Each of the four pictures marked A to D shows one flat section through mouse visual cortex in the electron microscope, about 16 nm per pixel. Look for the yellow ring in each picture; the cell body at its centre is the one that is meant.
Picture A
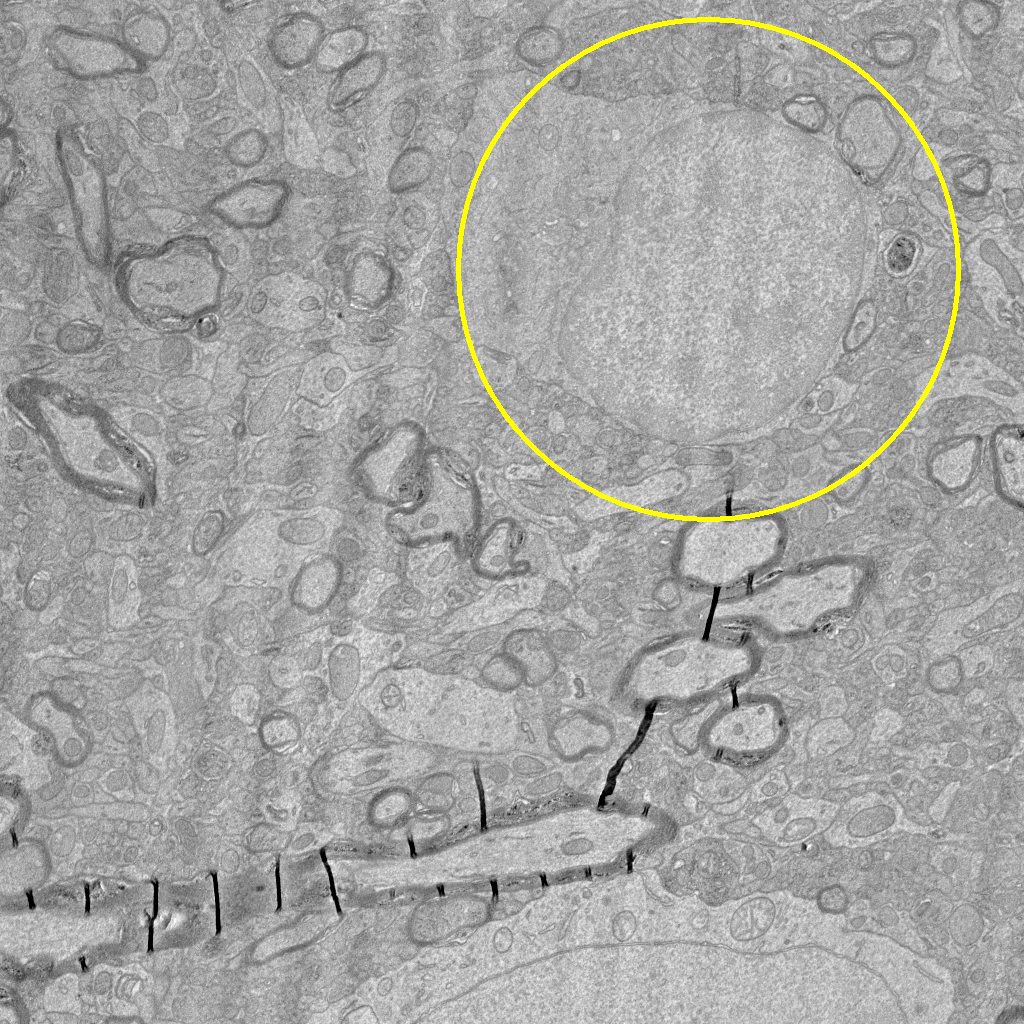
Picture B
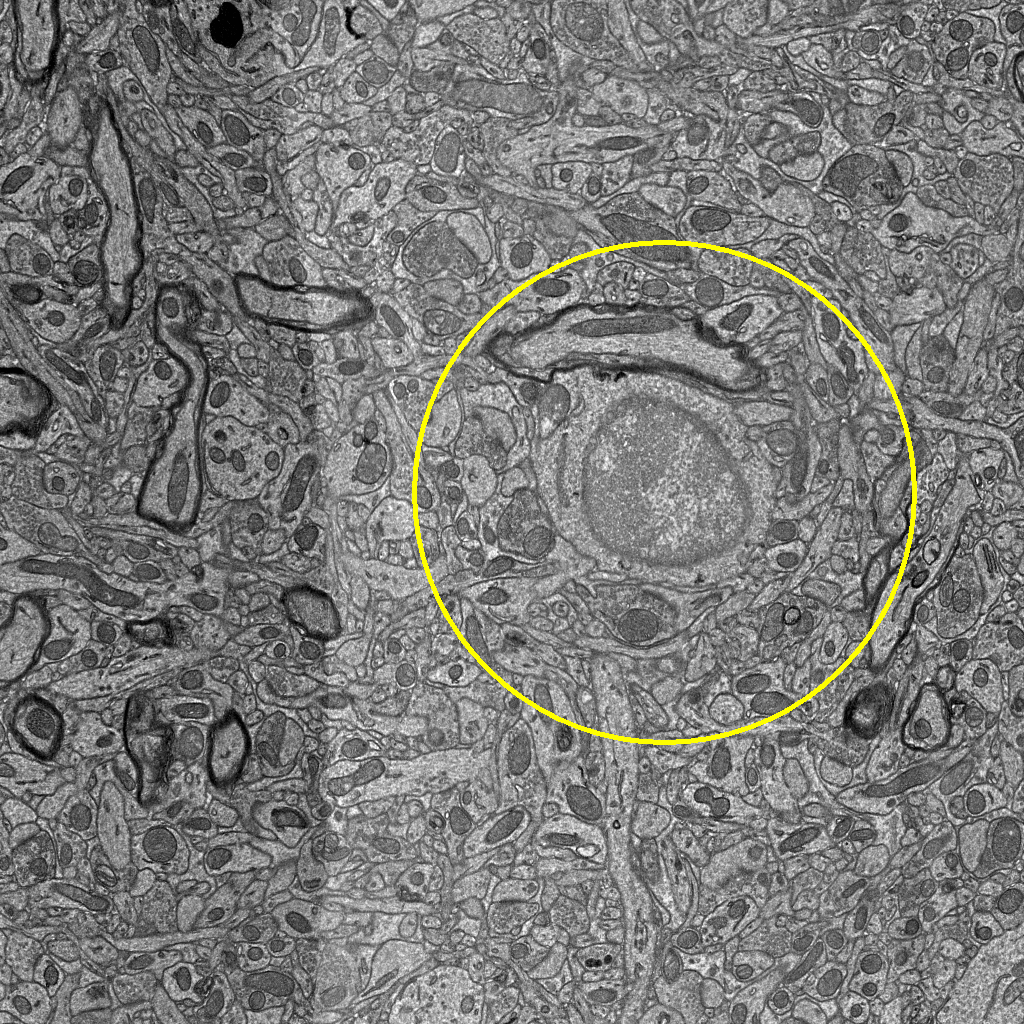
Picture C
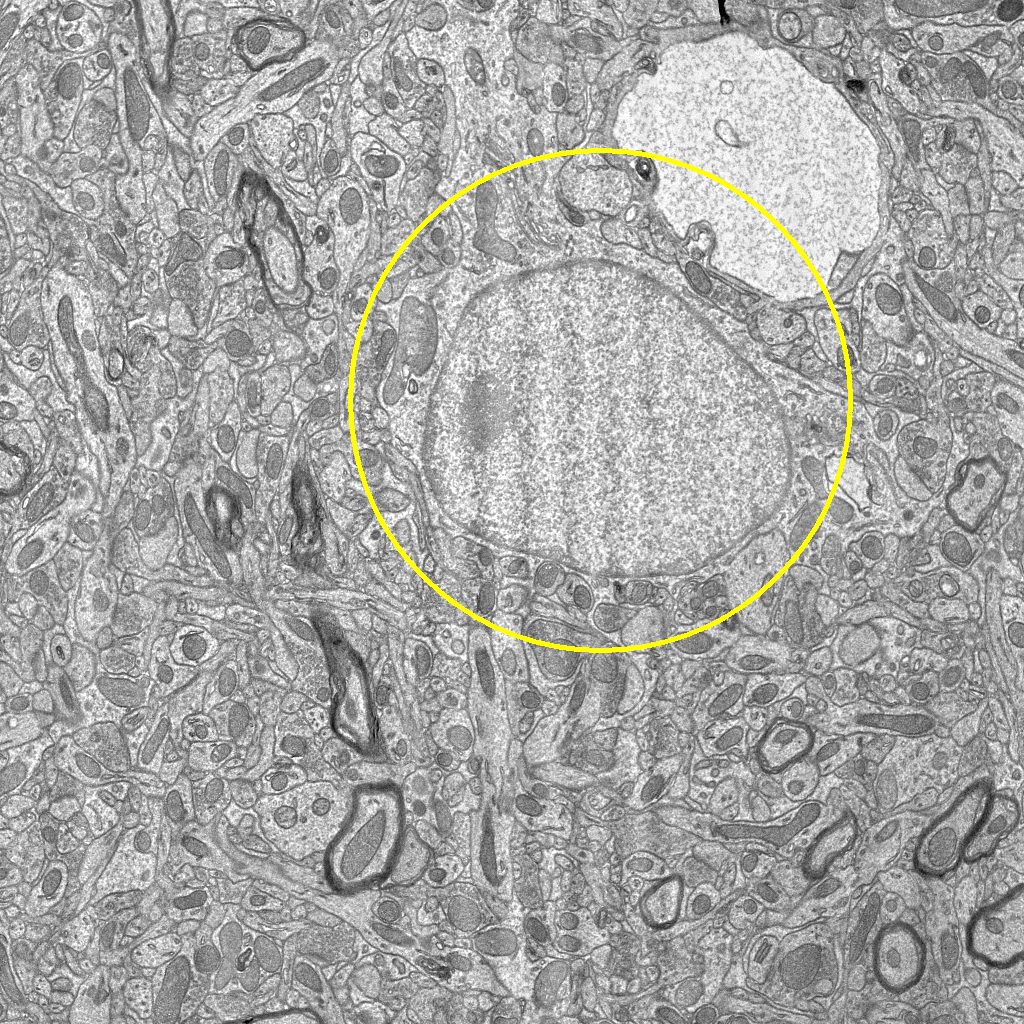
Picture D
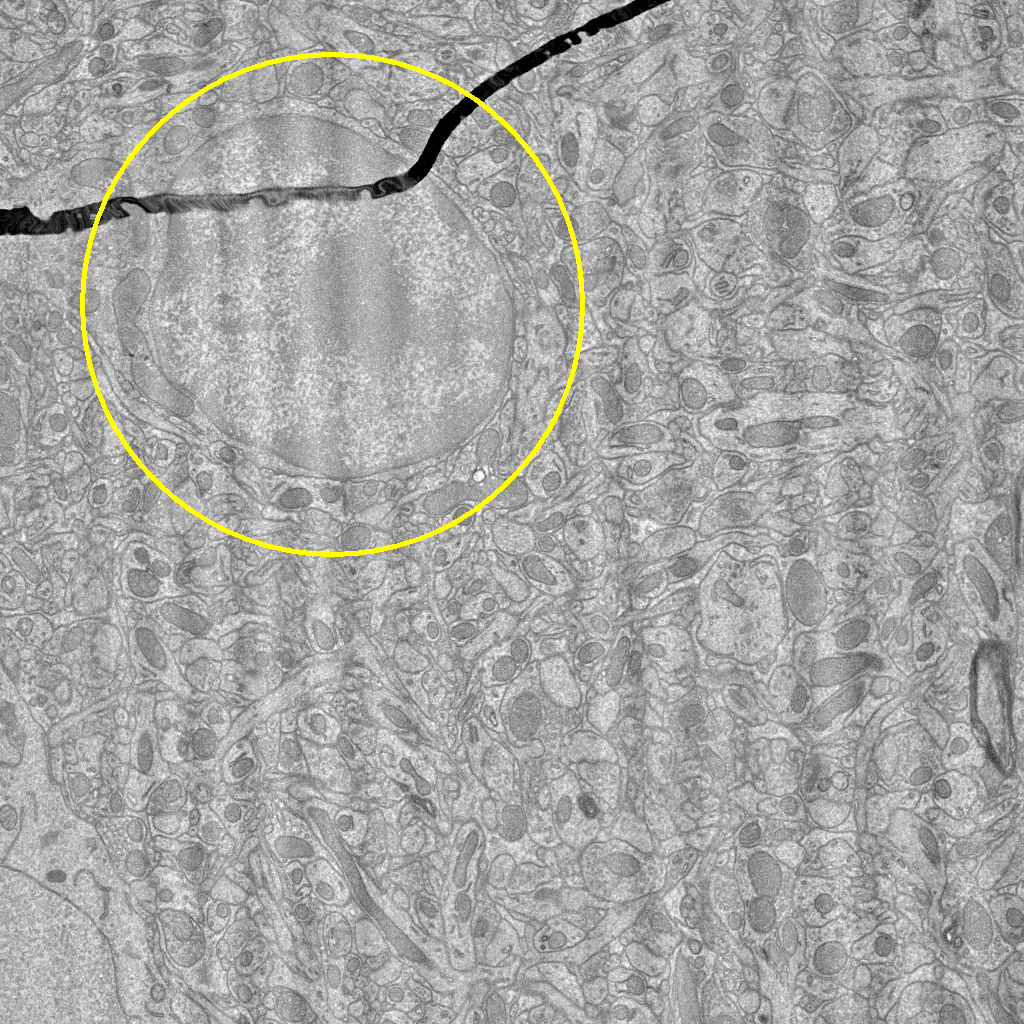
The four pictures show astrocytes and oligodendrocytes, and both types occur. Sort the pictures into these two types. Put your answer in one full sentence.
Picture C shows an astrocyte, while pictures A, B and D show oligodendrocytes.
